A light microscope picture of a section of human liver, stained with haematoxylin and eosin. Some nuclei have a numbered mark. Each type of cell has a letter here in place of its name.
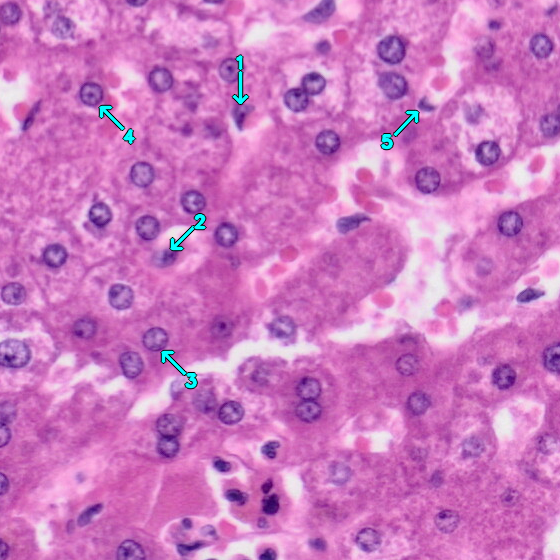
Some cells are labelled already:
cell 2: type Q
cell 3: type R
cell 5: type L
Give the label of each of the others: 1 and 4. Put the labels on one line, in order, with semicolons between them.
type L; type R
